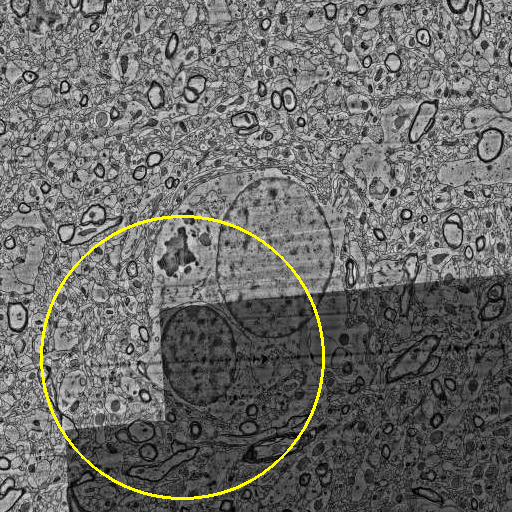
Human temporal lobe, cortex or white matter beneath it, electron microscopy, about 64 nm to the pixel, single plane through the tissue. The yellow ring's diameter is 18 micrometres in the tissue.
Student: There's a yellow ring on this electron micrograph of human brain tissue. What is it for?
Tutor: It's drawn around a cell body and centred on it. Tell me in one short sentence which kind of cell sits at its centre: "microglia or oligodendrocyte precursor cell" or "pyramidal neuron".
The cell at the centre of the ring is a microglial cell or oligodendrocyte precursor cell.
